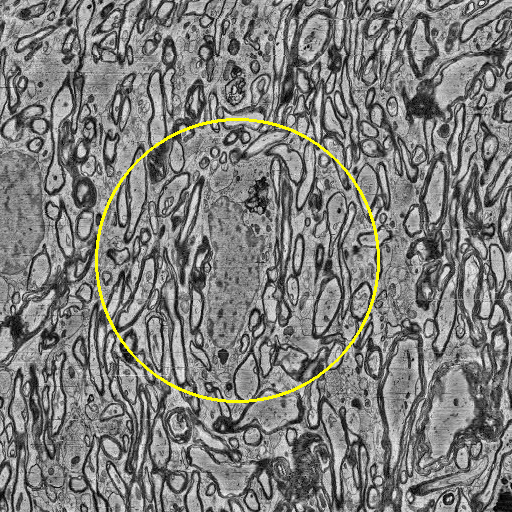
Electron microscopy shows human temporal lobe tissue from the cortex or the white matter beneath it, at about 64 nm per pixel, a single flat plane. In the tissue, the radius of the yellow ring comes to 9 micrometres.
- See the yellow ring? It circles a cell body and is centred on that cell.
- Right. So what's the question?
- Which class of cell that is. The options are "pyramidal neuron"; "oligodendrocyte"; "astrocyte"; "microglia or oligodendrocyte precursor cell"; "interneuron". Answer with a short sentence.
The centre of the ring holds an astrocyte.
